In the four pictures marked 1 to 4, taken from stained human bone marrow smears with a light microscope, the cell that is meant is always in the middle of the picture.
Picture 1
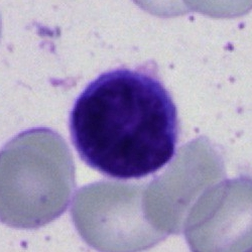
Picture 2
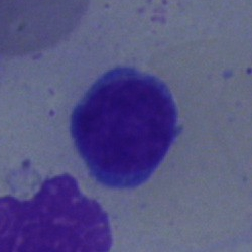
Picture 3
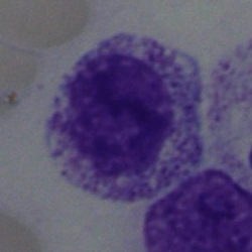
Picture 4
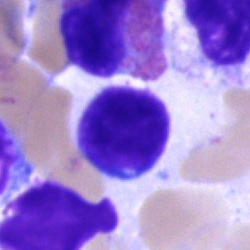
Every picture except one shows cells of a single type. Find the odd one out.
3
